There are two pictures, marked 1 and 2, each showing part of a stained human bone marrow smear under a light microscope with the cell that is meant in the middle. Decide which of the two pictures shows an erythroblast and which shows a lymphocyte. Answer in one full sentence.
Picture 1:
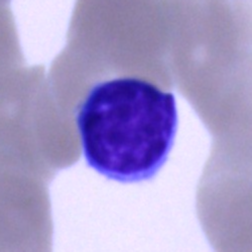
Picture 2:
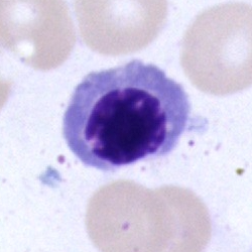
Picture 2 shows an erythroblast, while picture 1 shows a lymphocyte.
